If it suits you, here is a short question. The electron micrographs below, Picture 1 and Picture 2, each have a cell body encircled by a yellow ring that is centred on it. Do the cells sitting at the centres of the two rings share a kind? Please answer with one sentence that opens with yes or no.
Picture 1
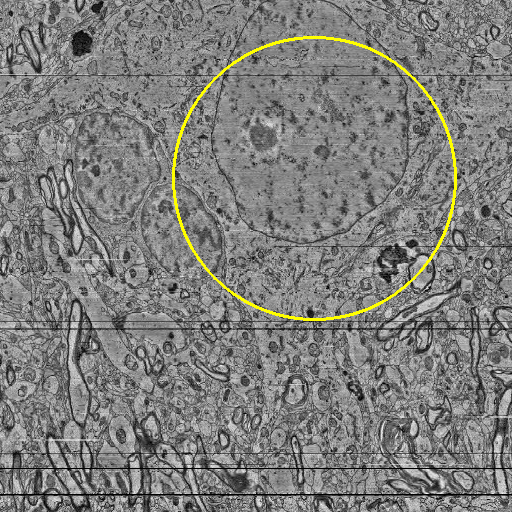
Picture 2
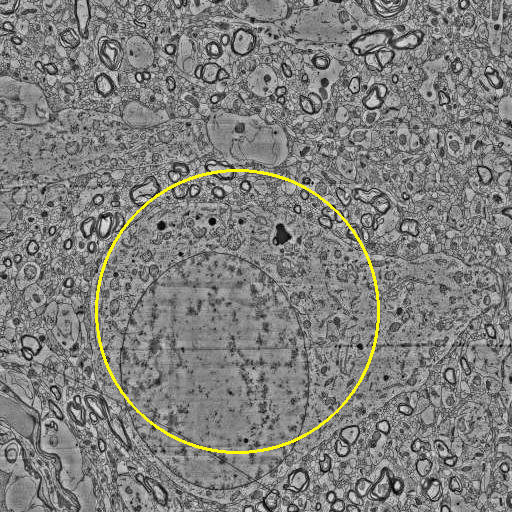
Yes, the two cells sitting at the ring centres share a single kind.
